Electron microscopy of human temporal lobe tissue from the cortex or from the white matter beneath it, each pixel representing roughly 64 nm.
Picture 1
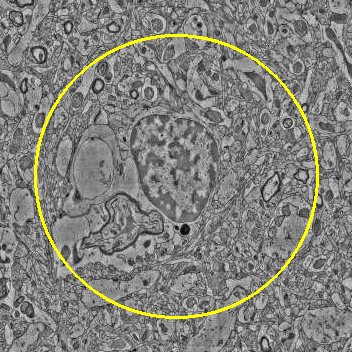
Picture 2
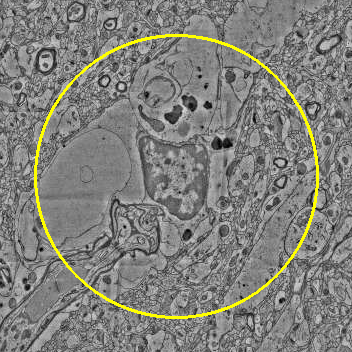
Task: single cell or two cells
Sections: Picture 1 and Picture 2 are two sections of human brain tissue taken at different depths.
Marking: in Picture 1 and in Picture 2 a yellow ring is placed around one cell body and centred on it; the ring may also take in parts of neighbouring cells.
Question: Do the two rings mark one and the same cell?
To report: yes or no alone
yes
